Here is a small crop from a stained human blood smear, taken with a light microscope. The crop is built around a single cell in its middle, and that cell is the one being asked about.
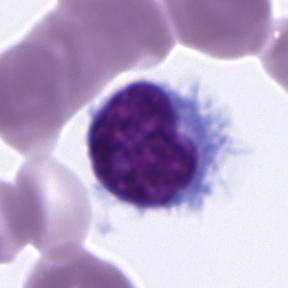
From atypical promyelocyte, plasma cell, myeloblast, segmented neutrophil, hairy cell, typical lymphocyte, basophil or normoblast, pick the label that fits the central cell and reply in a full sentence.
For this crop, the central cell is a hairy cell.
